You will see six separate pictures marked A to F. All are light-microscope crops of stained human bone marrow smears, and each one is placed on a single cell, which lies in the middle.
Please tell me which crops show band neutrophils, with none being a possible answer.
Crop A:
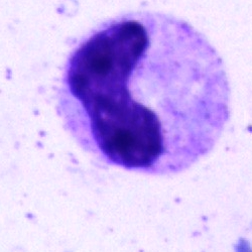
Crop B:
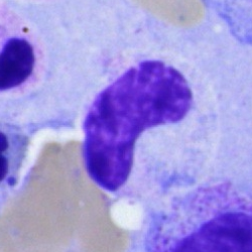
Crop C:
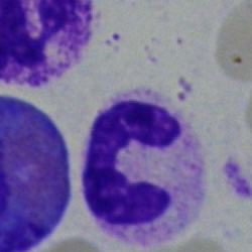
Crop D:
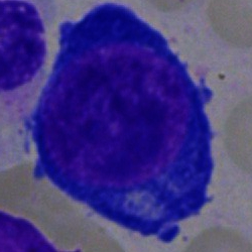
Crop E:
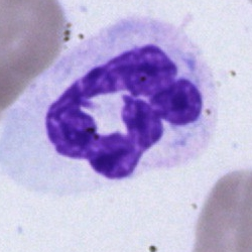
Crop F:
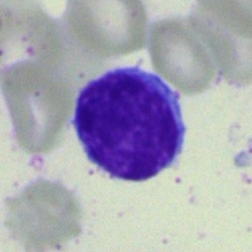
A, B, C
